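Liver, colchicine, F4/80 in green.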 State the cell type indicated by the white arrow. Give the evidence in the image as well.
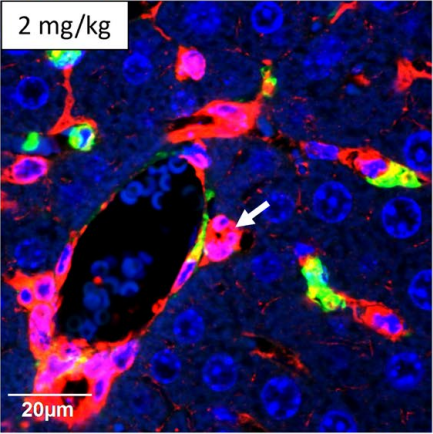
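A small cluster of cells with bright red cytoplasm lies next to a large vessel. These cells are much smaller than the surrounding large cells with round nuclei.
Hence: cholangiocytes.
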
